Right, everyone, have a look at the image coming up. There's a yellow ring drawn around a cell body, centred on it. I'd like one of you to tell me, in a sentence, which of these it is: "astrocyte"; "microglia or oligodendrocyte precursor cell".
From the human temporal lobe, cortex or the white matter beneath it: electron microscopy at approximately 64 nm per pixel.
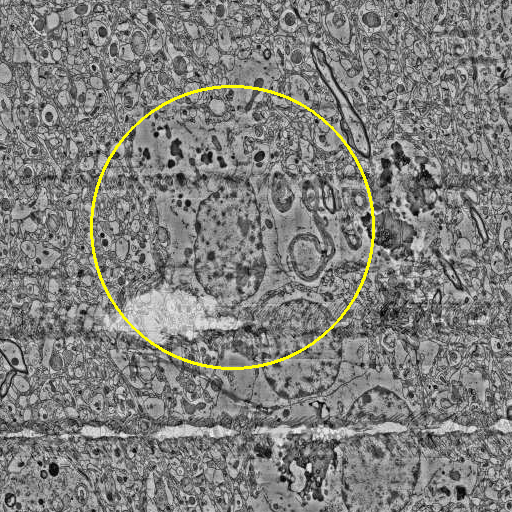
The yellow ring sits on an astrocyte.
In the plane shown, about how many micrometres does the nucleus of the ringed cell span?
In this plane, about 7 micrometres in length and 5 in width.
